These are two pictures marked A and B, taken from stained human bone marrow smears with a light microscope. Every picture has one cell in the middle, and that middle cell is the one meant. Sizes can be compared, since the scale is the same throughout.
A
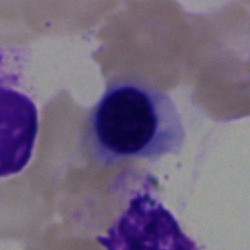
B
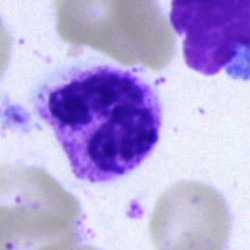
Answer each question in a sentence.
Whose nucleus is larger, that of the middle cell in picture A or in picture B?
The nucleus in picture B is larger, with about 2 times the area of the one in picture A.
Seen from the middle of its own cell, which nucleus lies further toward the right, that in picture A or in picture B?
In picture B the nucleus is shifted more toward the right.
